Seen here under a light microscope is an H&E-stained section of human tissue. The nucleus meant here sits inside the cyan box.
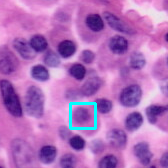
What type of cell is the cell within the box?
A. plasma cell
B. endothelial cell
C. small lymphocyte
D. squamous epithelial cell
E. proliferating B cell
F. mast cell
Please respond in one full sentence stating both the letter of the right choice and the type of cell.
Option A is correct here; the cell within the box is a plasma cell.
